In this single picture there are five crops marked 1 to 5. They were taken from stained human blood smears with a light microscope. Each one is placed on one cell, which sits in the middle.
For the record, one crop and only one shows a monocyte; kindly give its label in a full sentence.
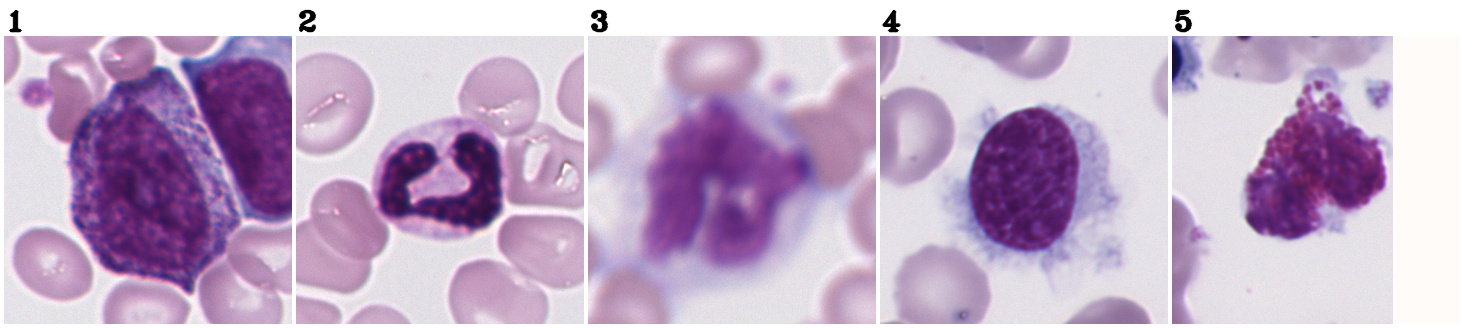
Crop 3 is identified as the crop showing a monocyte.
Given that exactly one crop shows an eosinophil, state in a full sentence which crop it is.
It is in crop 5 that an eosinophil is shown.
